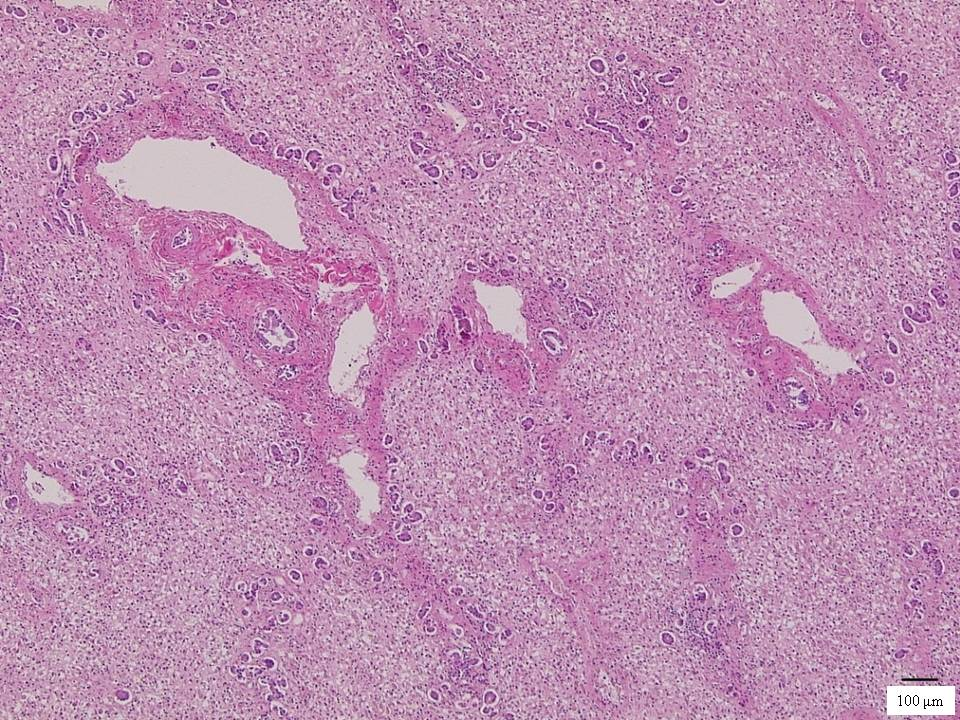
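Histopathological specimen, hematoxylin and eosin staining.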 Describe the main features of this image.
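This low-power section shows several portal areas lying close to one another, each with thin-walled, open venous spaces, small thick-walled arteries and pink fibrous tissue. Along the edges of these areas are many small bile duct profiles lined by cuboidal cells with purple nuclei, together with clusters of small dark inflammatory cells. Between the portal areas the tissue is pale, loose and finely vacuolated, without the plates of large polygonal cells of normal liver. The normal lobular architecture is therefore lost.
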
